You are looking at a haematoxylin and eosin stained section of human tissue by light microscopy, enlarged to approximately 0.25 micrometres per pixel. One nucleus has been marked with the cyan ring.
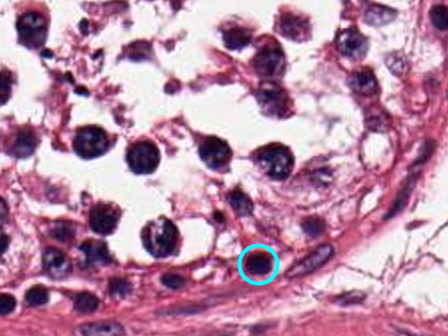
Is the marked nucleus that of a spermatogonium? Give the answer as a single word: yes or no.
yes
